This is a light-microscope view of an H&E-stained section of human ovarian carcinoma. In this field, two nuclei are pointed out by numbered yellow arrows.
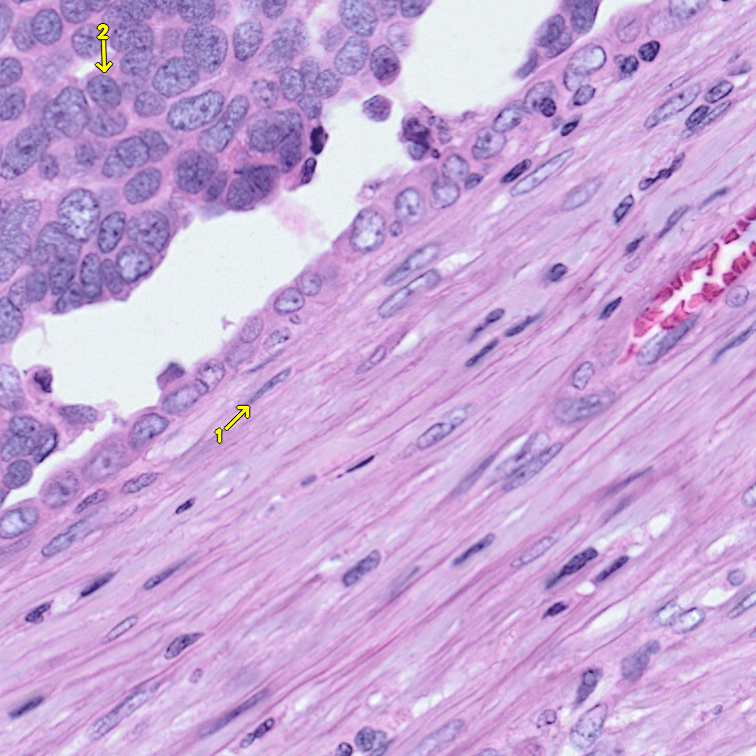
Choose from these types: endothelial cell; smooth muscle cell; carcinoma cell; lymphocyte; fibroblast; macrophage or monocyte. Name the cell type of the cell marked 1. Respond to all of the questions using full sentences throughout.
Marked with the number 1, this cell is a fibroblast.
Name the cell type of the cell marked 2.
In this section, the cell numbered 2 is a carcinoma cell.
